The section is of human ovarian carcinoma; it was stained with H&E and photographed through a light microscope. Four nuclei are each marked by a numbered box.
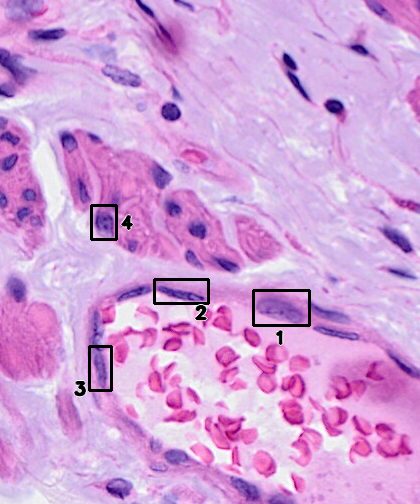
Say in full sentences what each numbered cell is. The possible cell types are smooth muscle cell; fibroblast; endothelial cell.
Cell 1 is an endothelial cell, cell 2 is an endothelial cell, cell 3 is an endothelial cell and cell 4 is a smooth muscle cell.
